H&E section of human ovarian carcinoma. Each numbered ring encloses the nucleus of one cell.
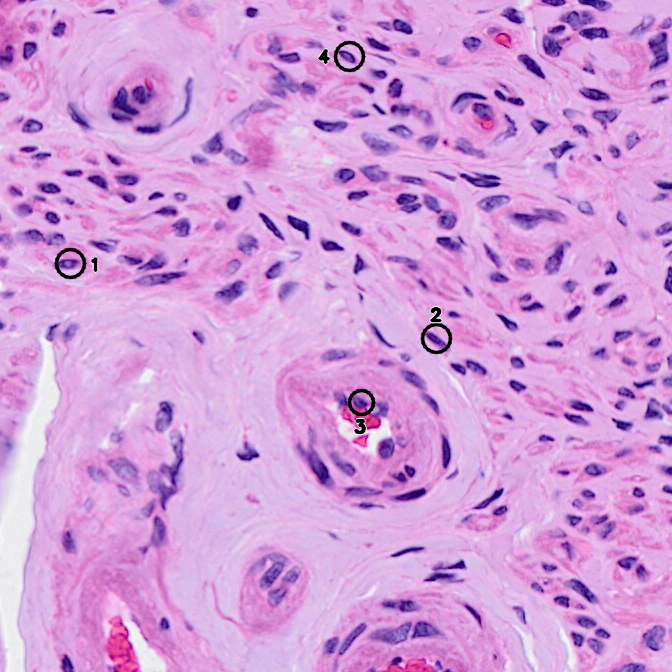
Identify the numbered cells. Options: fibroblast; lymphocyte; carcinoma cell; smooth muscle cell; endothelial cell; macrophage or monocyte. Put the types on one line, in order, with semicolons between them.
smooth muscle cell; smooth muscle cell; endothelial cell; smooth muscle cell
